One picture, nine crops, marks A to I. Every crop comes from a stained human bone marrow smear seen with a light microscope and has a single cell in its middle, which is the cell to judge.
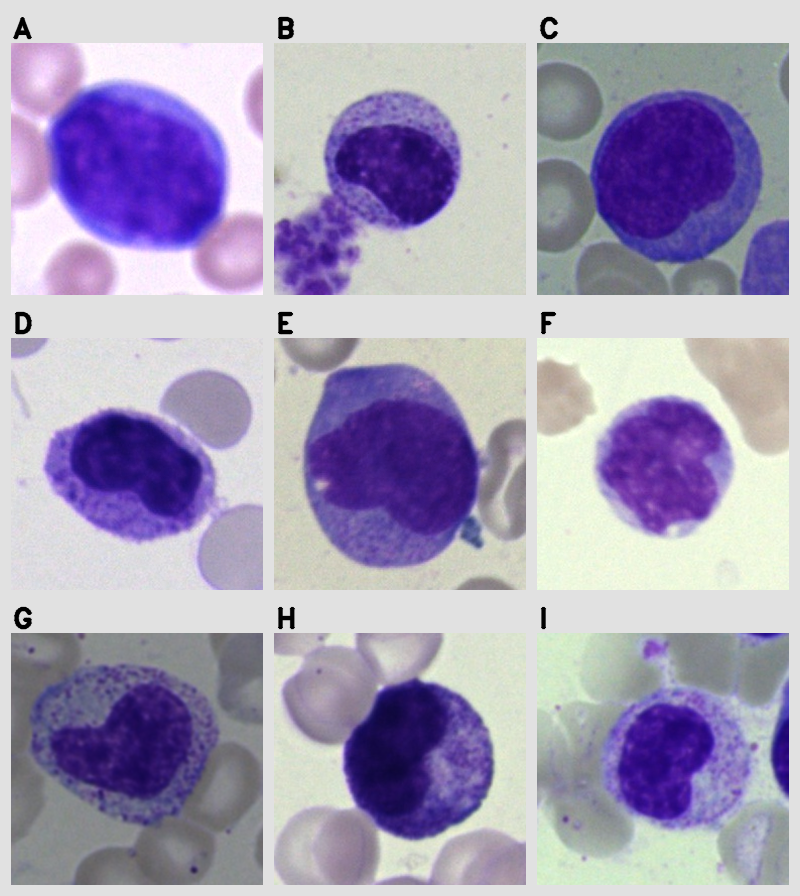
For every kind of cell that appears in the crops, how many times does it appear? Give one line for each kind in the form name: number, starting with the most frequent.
metamyelocyte: 5
blast: 3
monocyte: 1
